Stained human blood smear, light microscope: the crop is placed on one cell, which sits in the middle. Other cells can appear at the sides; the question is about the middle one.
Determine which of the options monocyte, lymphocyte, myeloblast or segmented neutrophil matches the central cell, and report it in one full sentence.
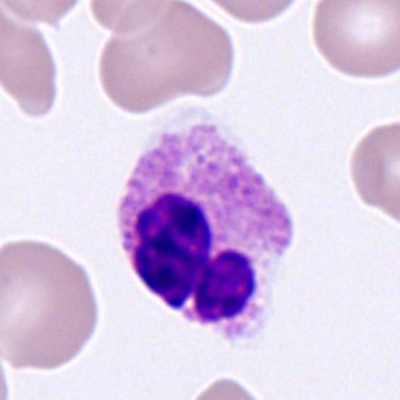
On this slide crop, the central cell is a segmented neutrophil.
